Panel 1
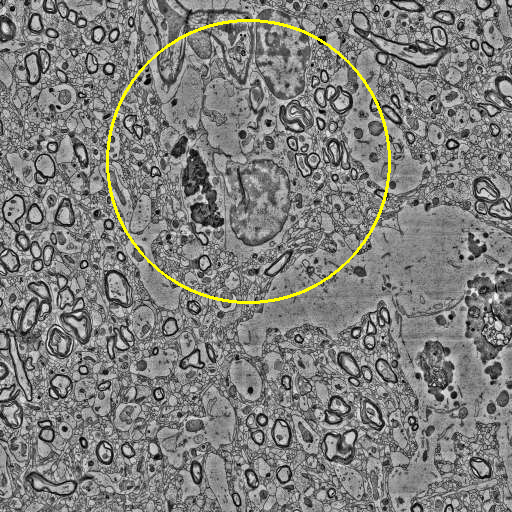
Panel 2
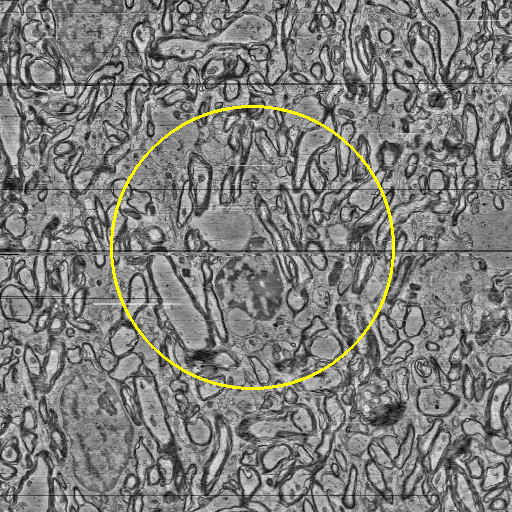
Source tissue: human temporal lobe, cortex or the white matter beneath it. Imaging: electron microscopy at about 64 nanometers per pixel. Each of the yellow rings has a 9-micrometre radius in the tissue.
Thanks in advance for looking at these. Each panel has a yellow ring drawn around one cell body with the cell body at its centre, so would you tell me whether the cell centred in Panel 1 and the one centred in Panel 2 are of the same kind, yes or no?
no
